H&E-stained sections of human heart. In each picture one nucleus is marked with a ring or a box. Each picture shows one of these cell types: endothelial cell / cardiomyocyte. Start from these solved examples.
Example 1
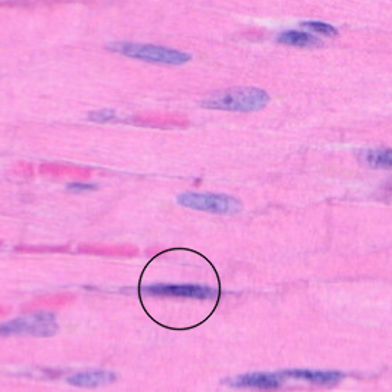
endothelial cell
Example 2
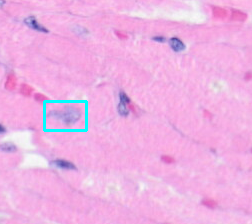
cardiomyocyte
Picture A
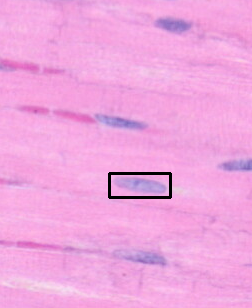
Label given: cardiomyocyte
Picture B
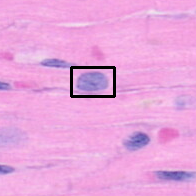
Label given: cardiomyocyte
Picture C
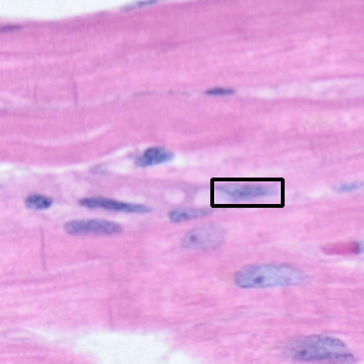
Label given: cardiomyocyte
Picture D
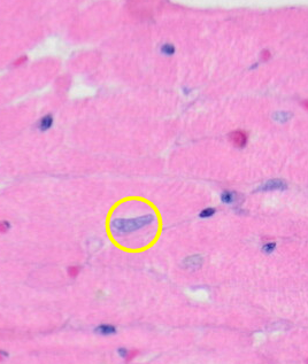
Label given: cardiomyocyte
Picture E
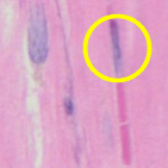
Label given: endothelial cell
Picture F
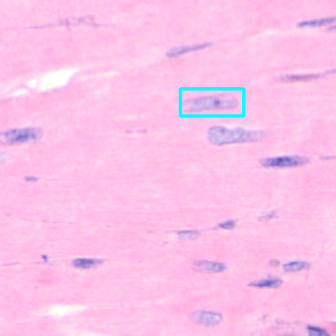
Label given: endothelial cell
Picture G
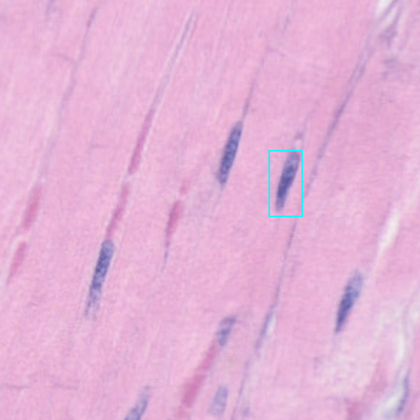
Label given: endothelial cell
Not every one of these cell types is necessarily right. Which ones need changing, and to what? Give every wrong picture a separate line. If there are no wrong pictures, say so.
C: change cardiomyocyte to endothelial cell
F: change endothelial cell to cardiomyocyte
